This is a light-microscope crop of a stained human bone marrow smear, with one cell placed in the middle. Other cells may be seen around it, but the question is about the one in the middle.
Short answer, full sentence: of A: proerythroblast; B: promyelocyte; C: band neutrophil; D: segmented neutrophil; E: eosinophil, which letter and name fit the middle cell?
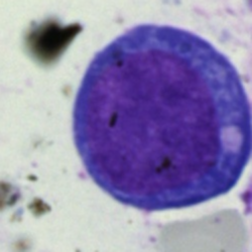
The cell at the heart of the crop is a proerythroblast, so choose option A.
